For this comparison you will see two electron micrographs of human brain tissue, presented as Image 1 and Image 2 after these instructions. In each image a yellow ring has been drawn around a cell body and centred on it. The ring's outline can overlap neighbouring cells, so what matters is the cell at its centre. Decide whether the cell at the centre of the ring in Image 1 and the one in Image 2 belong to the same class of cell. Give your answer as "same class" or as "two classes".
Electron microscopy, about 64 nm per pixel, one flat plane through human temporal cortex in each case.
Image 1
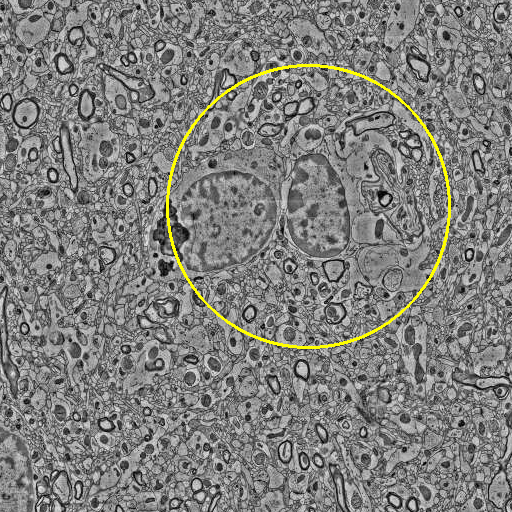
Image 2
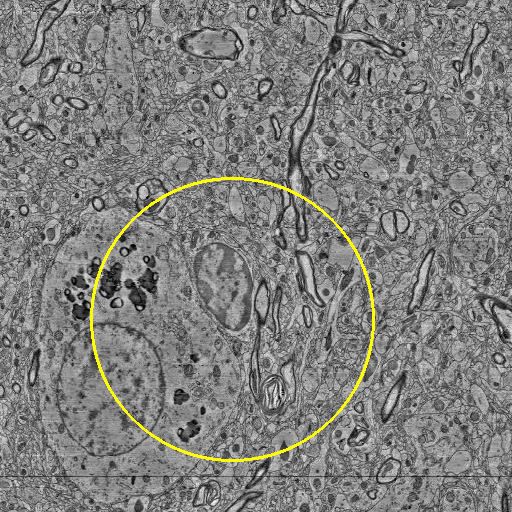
same class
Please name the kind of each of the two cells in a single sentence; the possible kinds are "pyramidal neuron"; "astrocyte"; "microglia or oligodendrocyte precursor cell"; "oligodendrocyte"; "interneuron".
Each cell, in the first picture and the second, is a microglial cell or oligodendrocyte precursor cell.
